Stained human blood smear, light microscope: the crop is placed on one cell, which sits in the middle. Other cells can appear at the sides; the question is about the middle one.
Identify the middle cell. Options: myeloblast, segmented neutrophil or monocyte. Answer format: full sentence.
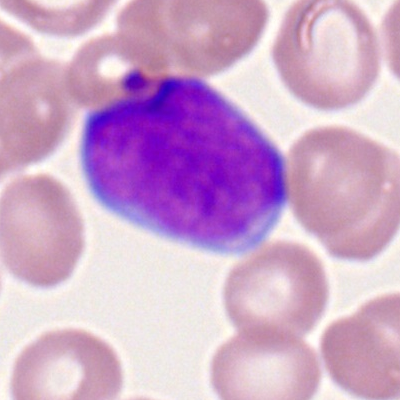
The target cell in the middle of the crop is a myeloblast.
